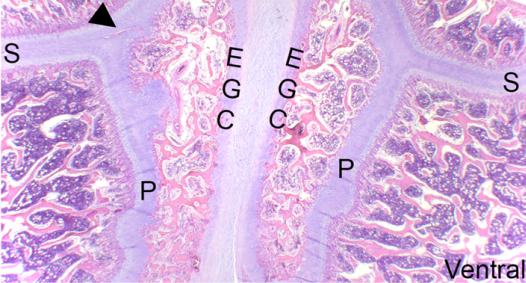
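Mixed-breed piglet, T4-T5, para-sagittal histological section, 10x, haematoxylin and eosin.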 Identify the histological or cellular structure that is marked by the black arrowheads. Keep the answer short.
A: cartilage canal blood supply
